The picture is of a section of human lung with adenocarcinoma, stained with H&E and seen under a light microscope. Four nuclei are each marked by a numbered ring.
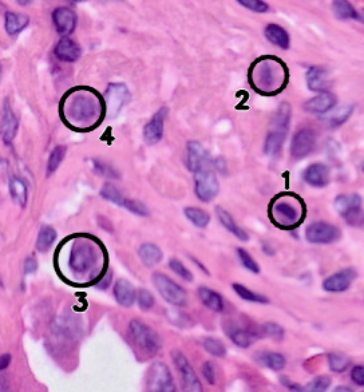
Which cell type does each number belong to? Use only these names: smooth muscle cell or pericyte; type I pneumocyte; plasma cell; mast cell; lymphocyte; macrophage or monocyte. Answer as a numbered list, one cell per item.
1. lymphocyte
2. plasma cell
3. plasma cell
4. plasma cell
